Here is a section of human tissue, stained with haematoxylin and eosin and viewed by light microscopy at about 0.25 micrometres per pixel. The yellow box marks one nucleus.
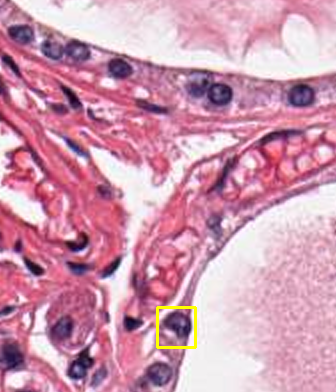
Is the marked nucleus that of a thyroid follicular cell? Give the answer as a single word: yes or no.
yes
